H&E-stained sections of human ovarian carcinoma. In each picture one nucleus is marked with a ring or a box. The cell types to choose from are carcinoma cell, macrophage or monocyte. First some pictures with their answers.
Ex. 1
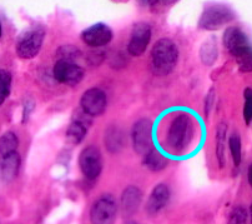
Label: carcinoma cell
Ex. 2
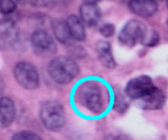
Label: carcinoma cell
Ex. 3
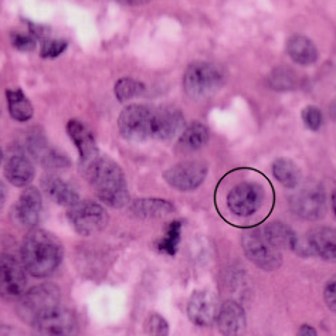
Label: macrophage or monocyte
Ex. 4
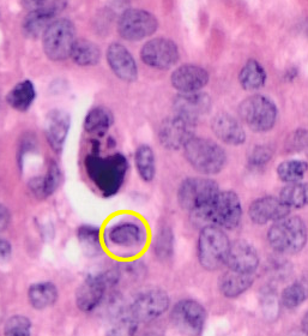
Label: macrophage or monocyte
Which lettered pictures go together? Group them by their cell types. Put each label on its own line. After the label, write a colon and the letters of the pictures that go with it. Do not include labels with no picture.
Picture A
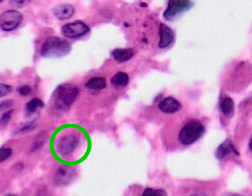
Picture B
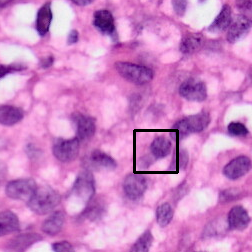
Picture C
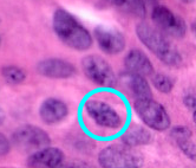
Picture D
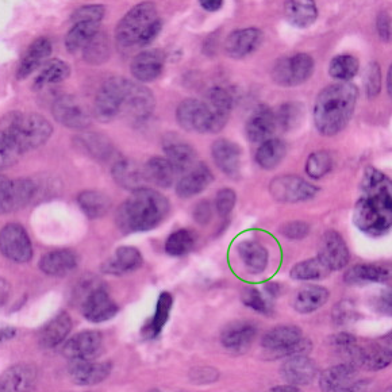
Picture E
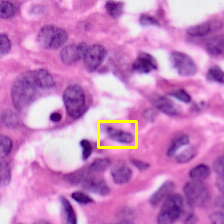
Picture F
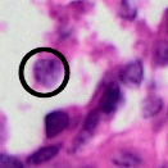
carcinoma cell: B
macrophage or monocyte: A, C, D, E, F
